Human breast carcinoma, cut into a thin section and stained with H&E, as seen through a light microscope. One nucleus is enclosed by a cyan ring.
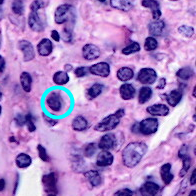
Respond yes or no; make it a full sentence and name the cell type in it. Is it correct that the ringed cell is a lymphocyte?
Yes, within this tissue section, the ringed cell is a lymphocyte.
